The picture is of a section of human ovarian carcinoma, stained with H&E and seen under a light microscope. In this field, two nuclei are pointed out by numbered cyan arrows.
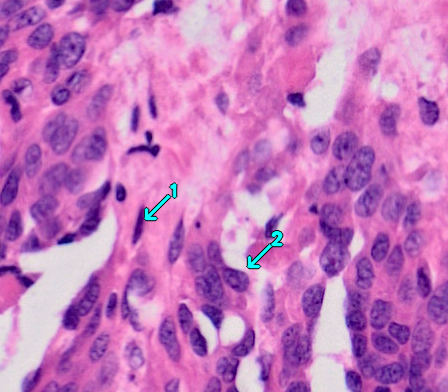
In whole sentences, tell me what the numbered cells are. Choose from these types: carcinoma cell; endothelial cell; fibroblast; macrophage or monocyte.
Cell 1 is a fibroblast. Cell 2 is a carcinoma cell.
